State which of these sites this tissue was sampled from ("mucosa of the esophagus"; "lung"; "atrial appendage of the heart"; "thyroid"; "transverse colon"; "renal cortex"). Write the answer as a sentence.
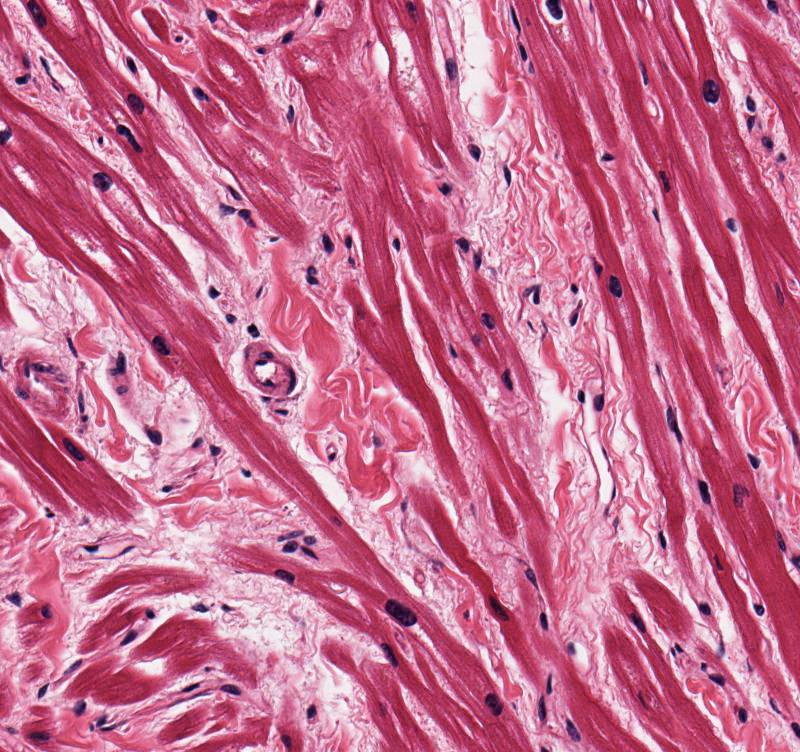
The site this tissue was sampled from is the atrial appendage of the heart.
